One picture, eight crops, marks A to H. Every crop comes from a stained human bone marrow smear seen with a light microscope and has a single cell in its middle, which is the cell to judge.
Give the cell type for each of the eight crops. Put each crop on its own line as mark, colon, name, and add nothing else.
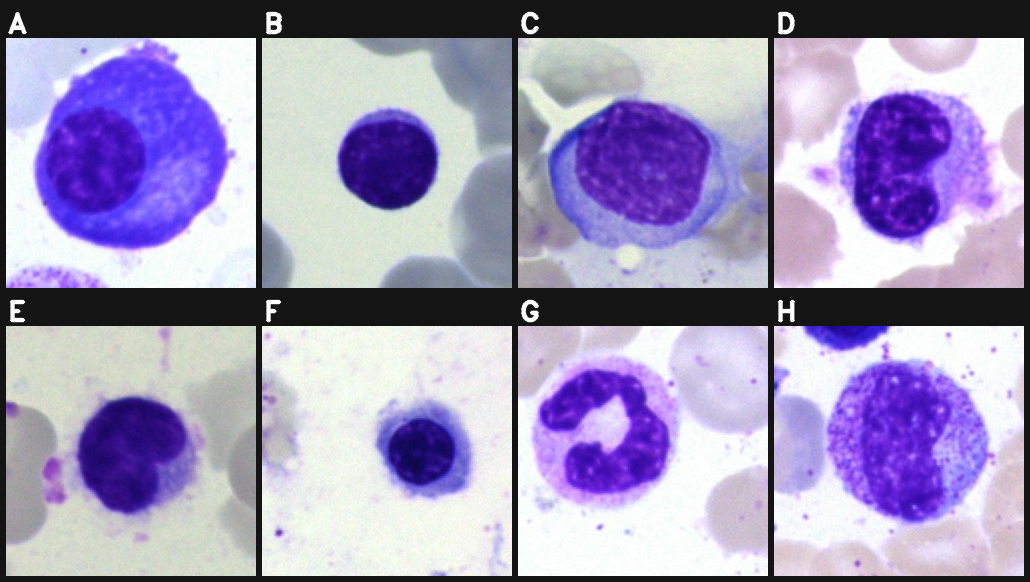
A: plasma cell
B: lymphocyte
C: blast
D: hairy cell
E: hairy cell
F: erythroblast
G: segmented neutrophil
H: metamyelocyte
